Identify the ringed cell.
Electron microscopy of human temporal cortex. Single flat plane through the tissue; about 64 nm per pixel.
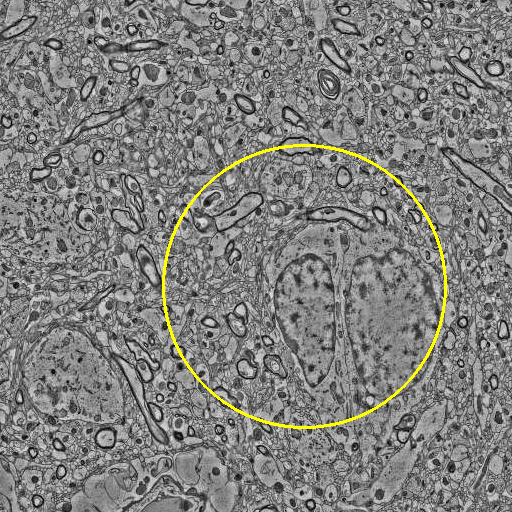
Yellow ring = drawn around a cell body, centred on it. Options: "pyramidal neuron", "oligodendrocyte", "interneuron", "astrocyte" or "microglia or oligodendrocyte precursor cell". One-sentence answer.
What the ring is centred on is a microglial cell or oligodendrocyte precursor cell.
